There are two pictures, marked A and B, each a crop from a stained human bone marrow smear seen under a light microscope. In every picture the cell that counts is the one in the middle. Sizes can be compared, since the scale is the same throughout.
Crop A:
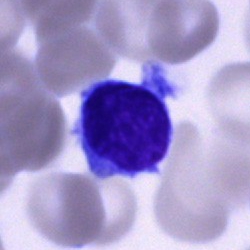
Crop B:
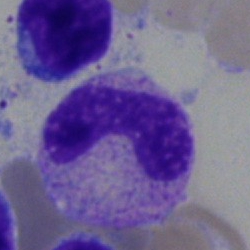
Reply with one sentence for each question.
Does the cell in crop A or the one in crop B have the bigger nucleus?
Larger is the nucleus in crop B, at roughly 1.5 times the area of the other.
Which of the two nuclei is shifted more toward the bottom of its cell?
Seen within its cell, the nucleus in crop A lies further toward the bottom.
